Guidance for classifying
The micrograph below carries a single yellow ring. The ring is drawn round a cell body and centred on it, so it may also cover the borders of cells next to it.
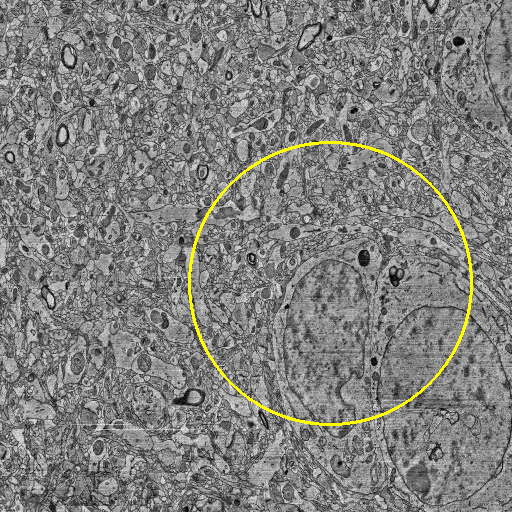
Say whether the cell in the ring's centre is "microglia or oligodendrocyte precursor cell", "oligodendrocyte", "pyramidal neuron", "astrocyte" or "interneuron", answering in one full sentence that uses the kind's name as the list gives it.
Within the yellow ring, an interneuron is the cell whose body sits at the centre.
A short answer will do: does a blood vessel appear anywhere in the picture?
No, none appears.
